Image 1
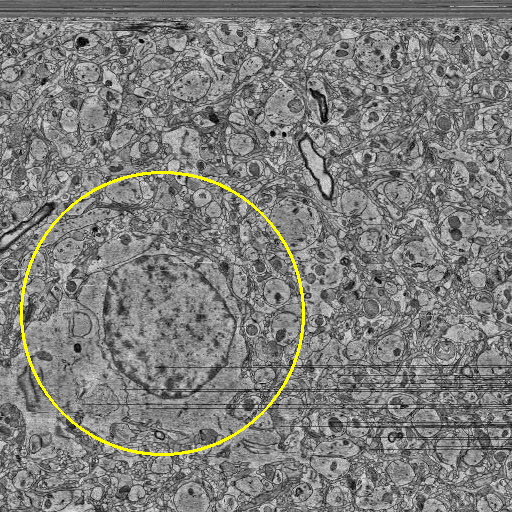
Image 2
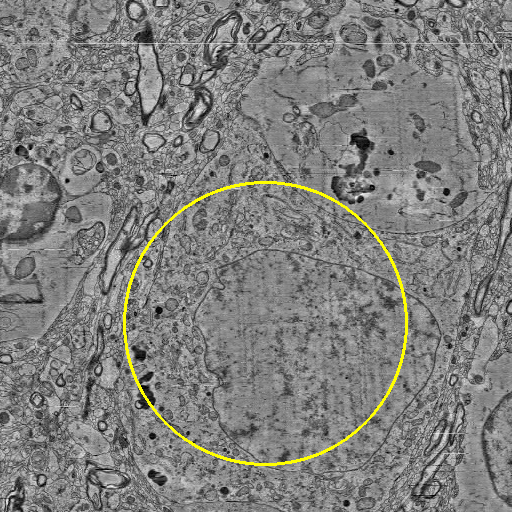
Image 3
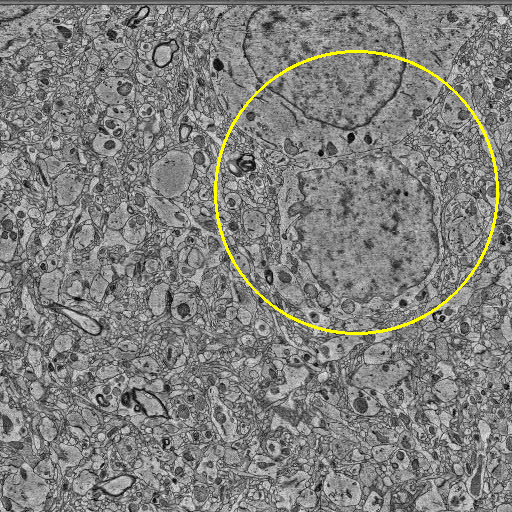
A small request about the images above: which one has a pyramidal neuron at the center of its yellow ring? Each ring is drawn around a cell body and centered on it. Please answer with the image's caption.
Image 2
